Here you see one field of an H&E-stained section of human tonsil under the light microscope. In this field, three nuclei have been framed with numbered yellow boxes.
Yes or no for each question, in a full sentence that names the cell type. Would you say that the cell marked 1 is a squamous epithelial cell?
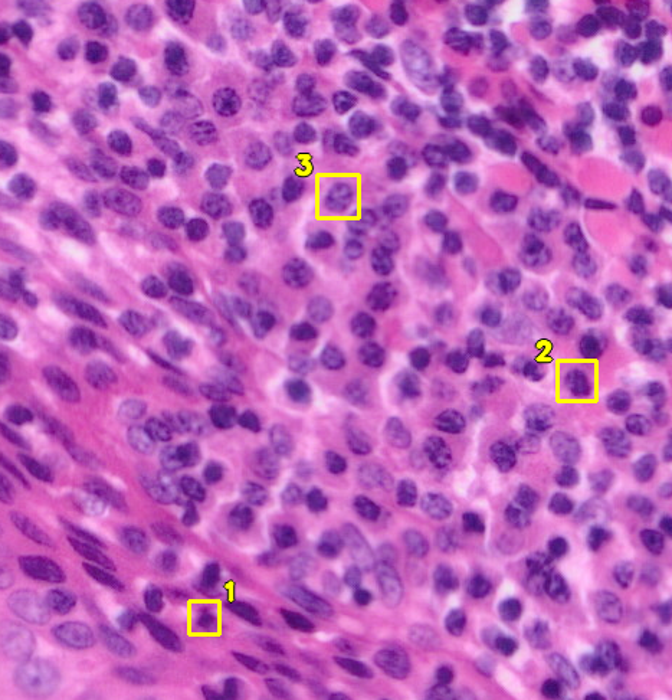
Yes, on this slide, the cell with number 1 is a squamous epithelial cell.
